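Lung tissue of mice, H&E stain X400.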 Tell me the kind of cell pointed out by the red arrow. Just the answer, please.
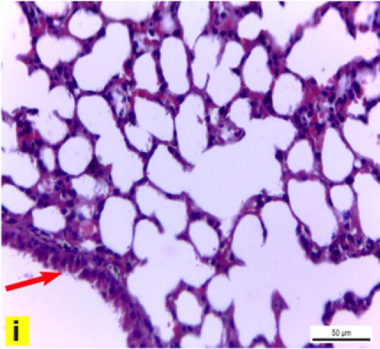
Epithelial cells.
